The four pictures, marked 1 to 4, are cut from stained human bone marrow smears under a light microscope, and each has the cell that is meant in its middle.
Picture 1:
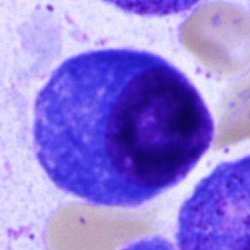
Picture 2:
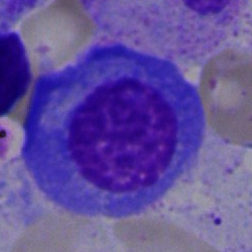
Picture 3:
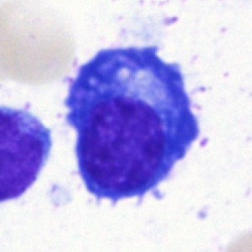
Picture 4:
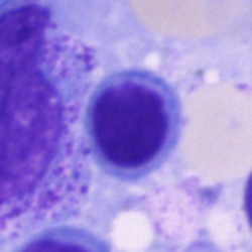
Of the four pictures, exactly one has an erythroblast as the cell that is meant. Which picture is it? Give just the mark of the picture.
4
